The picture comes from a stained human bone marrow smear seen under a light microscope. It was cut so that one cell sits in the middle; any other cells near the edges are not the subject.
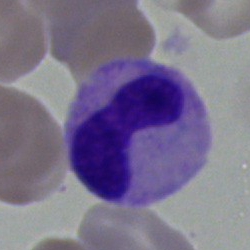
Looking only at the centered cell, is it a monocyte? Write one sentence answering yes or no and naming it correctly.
No, it is not a monocyte that sits at the centre but a band neutrophil.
